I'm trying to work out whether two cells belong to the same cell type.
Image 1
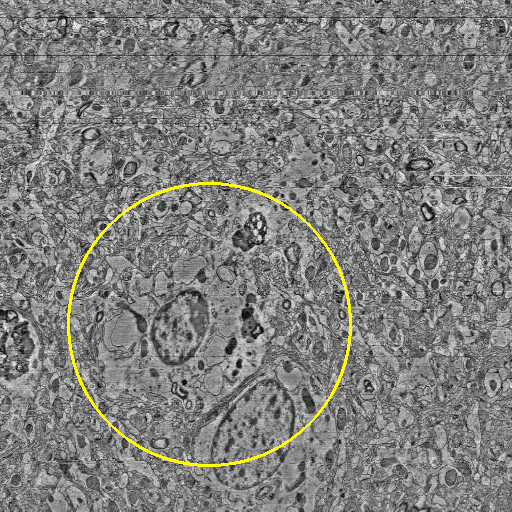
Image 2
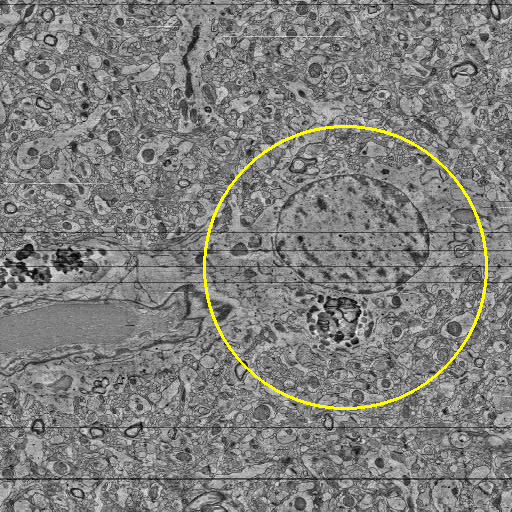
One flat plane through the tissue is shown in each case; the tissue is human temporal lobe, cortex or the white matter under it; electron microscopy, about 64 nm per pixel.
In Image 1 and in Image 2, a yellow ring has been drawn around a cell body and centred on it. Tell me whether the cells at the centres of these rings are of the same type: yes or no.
yes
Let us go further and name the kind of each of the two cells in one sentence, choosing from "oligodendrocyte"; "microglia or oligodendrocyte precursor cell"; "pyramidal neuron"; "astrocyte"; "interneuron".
The second cell is an astrocyte, just as the first is.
